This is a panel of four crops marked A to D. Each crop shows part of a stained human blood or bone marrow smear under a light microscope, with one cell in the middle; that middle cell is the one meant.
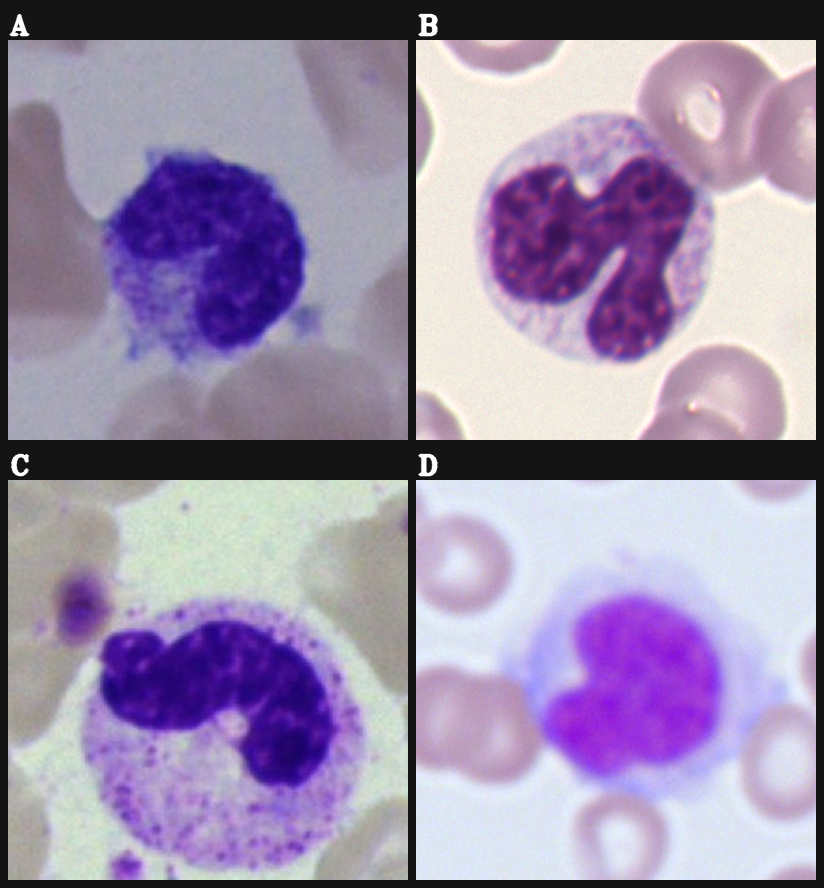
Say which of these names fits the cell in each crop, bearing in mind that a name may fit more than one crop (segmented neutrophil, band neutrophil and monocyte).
A: band neutrophil
B: segmented neutrophil
C: segmented neutrophil
D: monocyte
